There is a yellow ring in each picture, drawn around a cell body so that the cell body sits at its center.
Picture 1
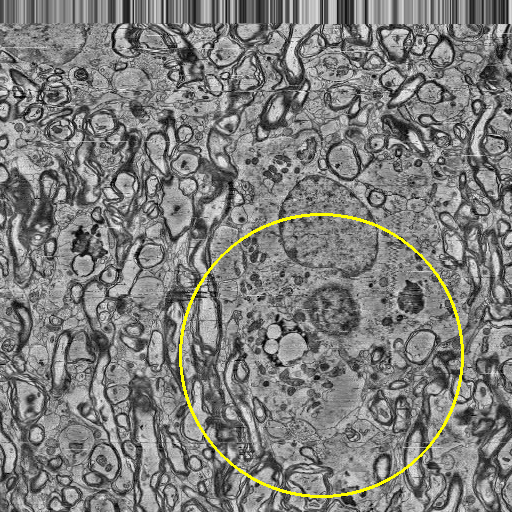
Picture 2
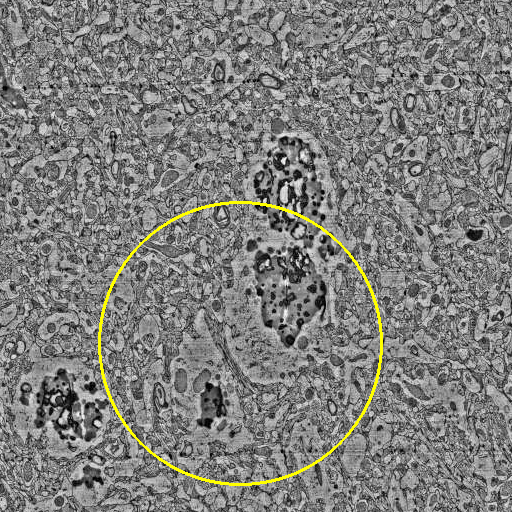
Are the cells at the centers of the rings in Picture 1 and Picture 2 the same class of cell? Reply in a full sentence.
Yes, the two cells are the same class of cell.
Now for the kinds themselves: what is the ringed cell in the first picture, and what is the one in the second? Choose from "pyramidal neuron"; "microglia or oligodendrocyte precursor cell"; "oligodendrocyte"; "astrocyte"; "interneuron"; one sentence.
Each of the two rings surrounds an astrocyte.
